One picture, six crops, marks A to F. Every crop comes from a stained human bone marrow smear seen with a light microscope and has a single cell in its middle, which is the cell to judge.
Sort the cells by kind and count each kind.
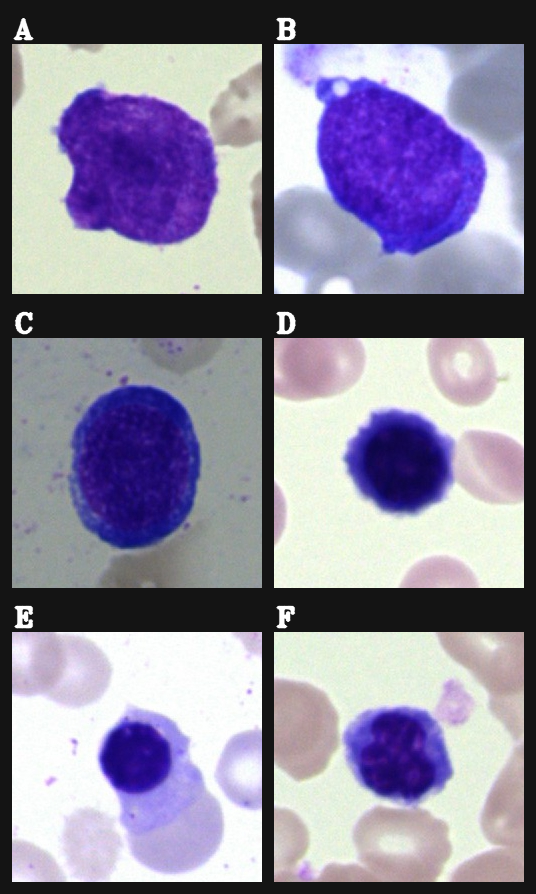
erythroblast: 4
blast: 2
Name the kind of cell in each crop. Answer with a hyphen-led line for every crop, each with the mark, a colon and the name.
- A: blast
- B: blast
- C: erythroblast
- D: erythroblast
- E: erythroblast
- F: erythroblast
